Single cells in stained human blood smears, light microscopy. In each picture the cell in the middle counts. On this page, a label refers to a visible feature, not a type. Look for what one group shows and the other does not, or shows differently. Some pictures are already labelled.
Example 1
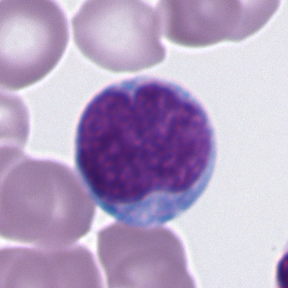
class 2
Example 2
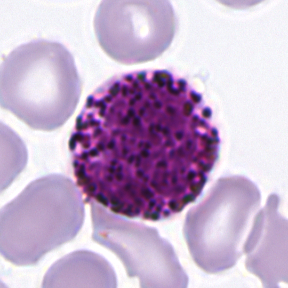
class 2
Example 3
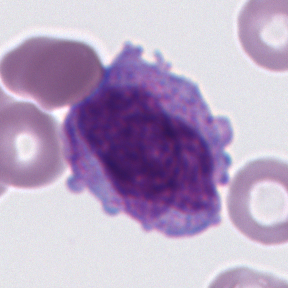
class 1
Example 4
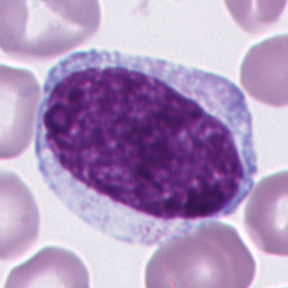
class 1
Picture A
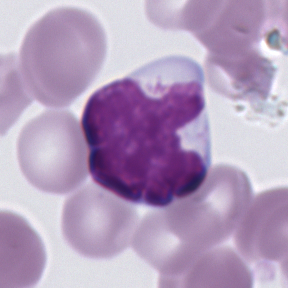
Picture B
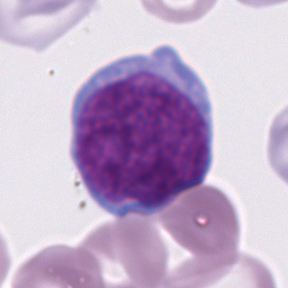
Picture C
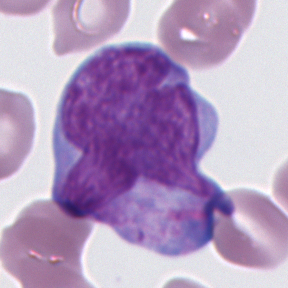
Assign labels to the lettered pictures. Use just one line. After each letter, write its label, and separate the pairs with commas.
A class 2, B class 1, C class 1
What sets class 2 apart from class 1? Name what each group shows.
Seen in class 2: smooth outline; seen in class 1: ragged outline or projections.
